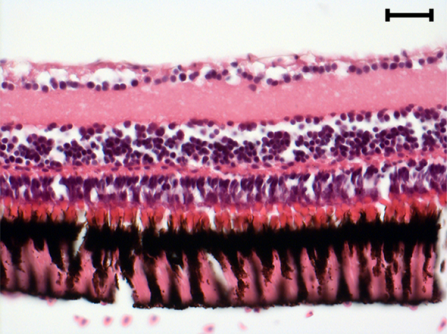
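This is a layered section of retina, stained purple and pink, with the innermost surface at the top and the pigmented outer layer at the bottom. At the top, a loose row of round purple nuclei sits among pale spaces, forming the ganglion cell layer. Below it lies a broad, smooth pink band of fibres, the inner plexiform layer. Beneath that band, several rows of densely packed round purple nuclei form the inner nuclear layer. A thin pink band then separates it from a further layer of elongated purple nuclei, the outer nuclear layer. Bright pink photoreceptor segments lead down into a thick layer of dark brown-black pigment, whose streaks reach up between the segments in a regular, comb-like pattern.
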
